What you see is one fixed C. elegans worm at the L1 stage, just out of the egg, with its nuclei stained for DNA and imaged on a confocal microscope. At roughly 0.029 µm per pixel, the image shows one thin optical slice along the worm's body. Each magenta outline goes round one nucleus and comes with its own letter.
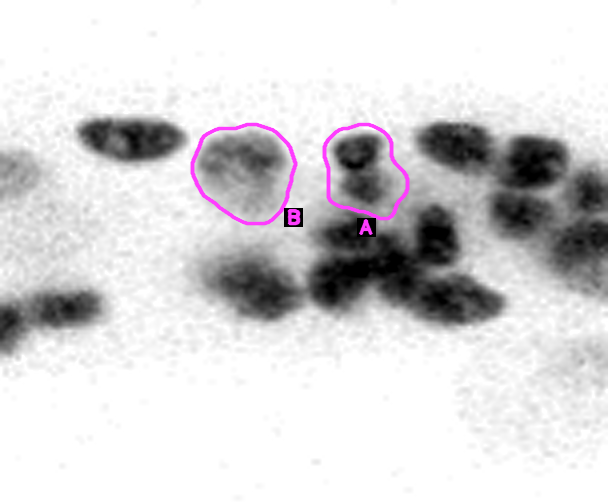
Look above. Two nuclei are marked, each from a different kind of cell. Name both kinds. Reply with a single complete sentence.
B belongs to an intestinal cell, and A to a valve cell of the gut.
